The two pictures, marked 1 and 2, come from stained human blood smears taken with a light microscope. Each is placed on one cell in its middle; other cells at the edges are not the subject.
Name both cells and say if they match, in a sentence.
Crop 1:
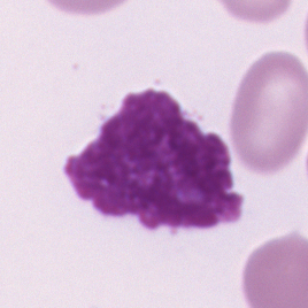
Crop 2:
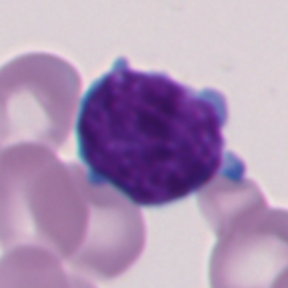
No, crop 1 shows a smudge cell, and crop 2, by contrast, shows a typical lymphocyte.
